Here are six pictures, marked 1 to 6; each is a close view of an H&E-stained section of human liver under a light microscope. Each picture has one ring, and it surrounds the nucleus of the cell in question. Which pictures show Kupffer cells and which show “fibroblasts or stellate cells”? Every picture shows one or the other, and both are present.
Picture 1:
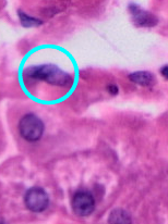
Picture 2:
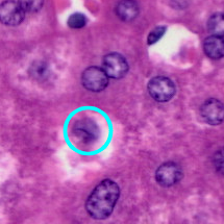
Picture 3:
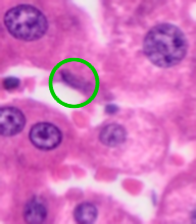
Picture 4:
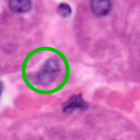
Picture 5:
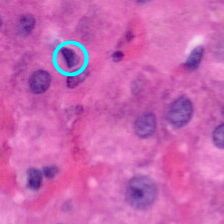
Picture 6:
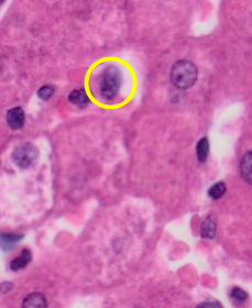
1: fibroblast or stellate cell
2: Kupffer cell
3: Kupffer cell
4: Kupffer cell
5: fibroblast or stellate cell
6: Kupffer cell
